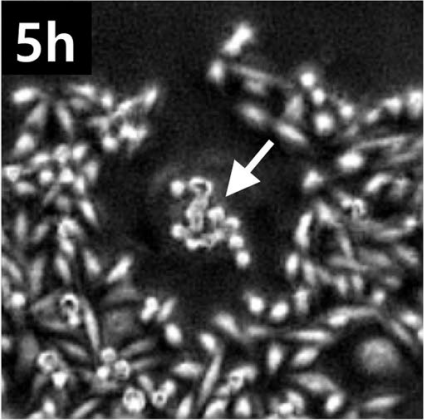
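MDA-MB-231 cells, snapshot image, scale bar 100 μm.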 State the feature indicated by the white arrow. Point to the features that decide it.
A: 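A small cell cluster. The arrow points to a tight group of several small bright cells. The group sits in the middle of a large dark flat area free of the surrounding spindle-shaped cells.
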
